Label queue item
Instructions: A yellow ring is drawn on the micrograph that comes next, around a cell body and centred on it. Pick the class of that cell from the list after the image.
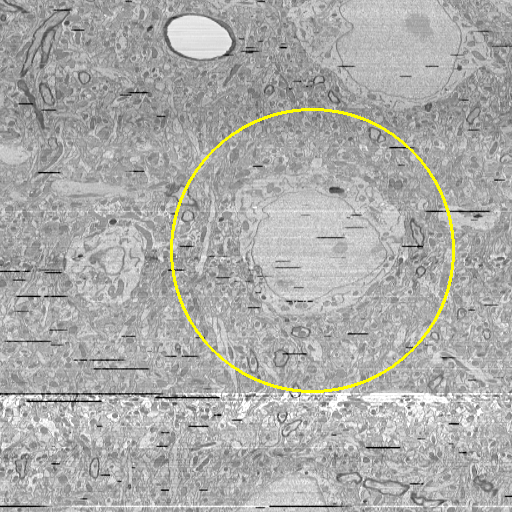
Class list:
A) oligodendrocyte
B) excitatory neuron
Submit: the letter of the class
B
